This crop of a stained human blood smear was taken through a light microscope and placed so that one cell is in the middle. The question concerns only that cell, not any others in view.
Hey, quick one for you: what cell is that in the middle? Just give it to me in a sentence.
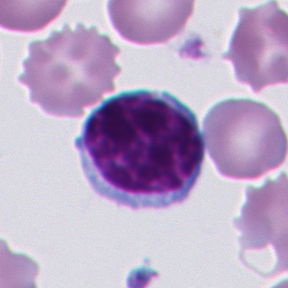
The central element of this crop is a cell, namely a lymphocyte.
